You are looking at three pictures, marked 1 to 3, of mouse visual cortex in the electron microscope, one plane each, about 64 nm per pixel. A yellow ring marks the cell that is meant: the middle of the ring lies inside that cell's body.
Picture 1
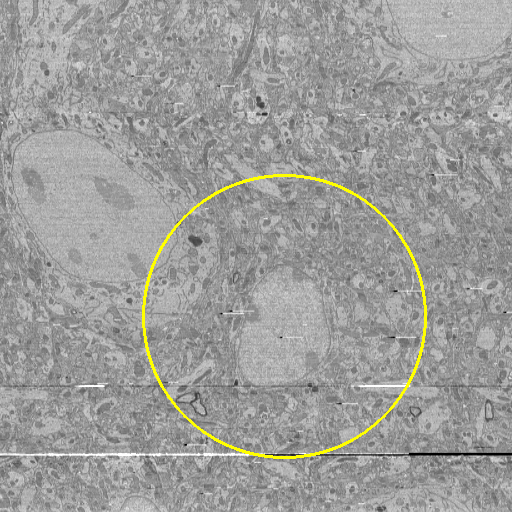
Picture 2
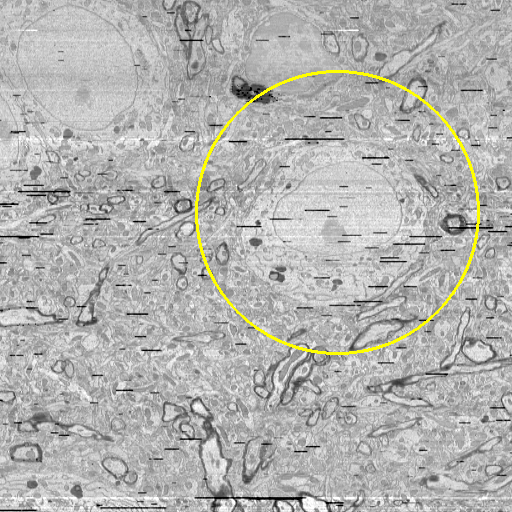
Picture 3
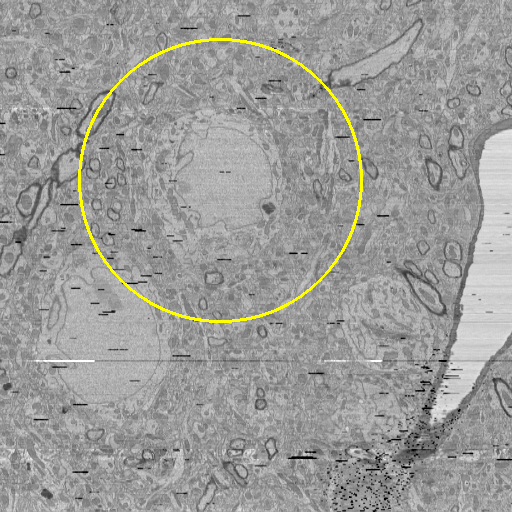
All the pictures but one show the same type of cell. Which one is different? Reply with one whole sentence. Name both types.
Picture 1 differs, because its cell is an astrocyte and the rest are excitatory neurons.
